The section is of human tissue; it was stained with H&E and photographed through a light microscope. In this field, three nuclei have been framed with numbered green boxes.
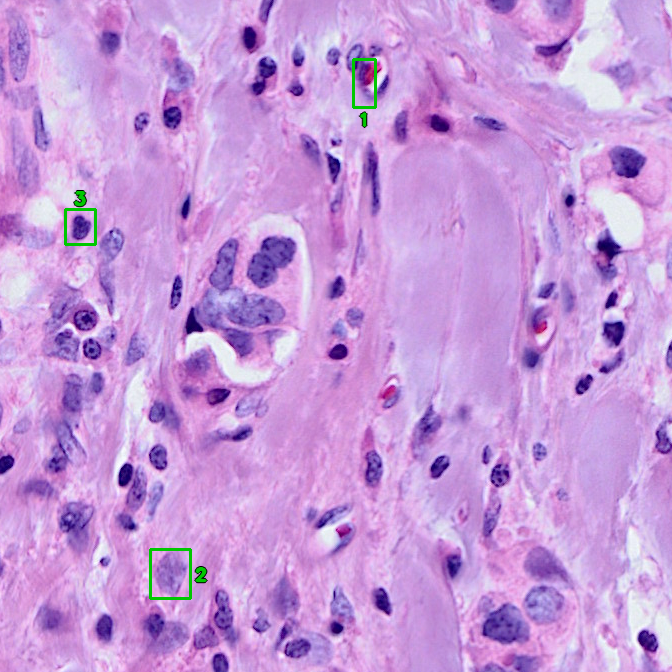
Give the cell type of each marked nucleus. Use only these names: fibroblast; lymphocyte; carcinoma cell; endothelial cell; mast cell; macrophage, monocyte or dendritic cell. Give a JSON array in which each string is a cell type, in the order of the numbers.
["endothelial cell", "fibroblast", "lymphocyte"]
